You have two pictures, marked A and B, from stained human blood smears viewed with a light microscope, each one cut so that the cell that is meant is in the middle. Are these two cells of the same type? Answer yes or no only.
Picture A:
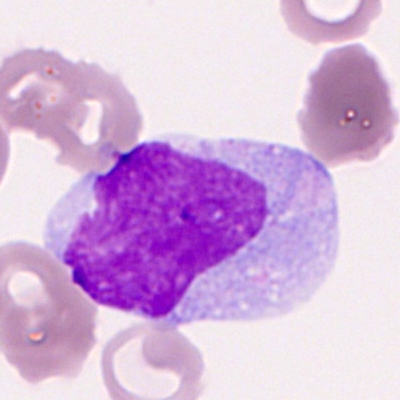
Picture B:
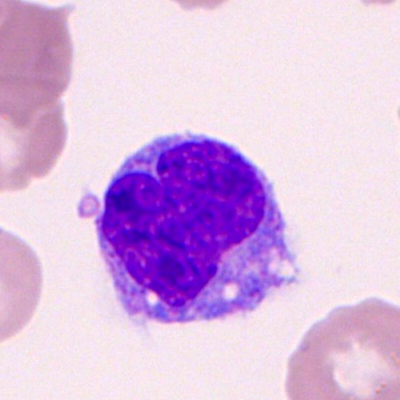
yes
